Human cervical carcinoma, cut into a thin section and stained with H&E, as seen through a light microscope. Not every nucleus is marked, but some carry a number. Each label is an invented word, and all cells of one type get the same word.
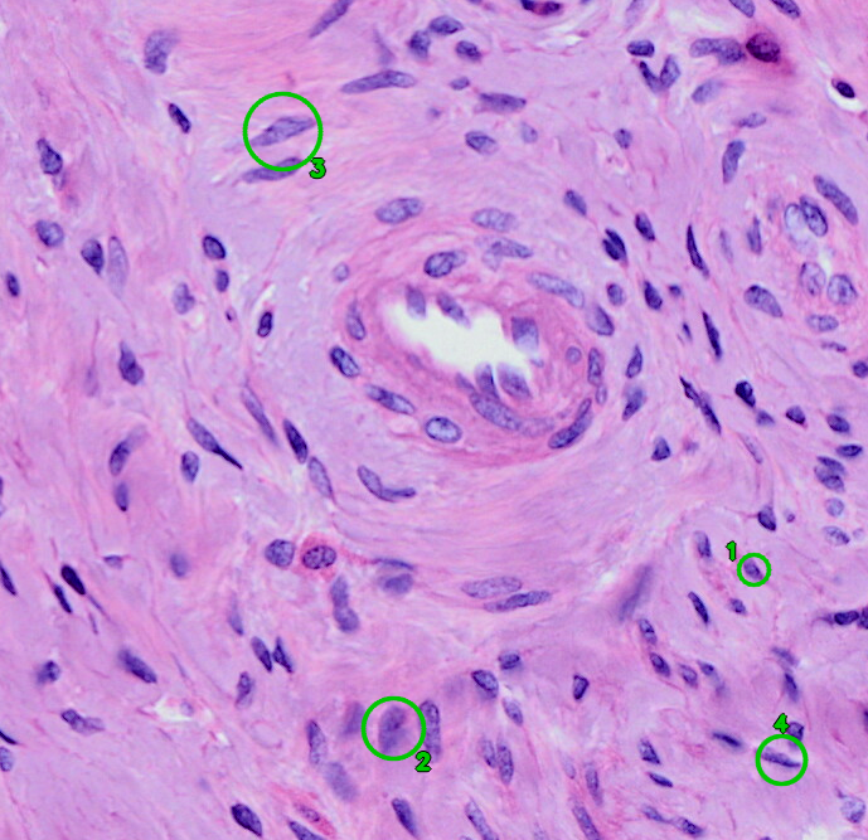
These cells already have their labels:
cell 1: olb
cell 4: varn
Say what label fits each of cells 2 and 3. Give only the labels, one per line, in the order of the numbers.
varn
varn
